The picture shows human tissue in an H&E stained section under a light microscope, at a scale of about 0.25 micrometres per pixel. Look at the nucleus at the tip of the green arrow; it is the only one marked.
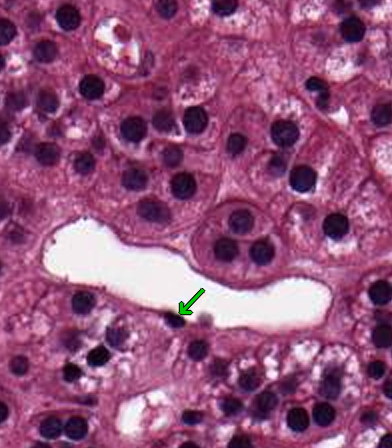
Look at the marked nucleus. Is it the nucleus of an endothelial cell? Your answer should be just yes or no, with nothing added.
yes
